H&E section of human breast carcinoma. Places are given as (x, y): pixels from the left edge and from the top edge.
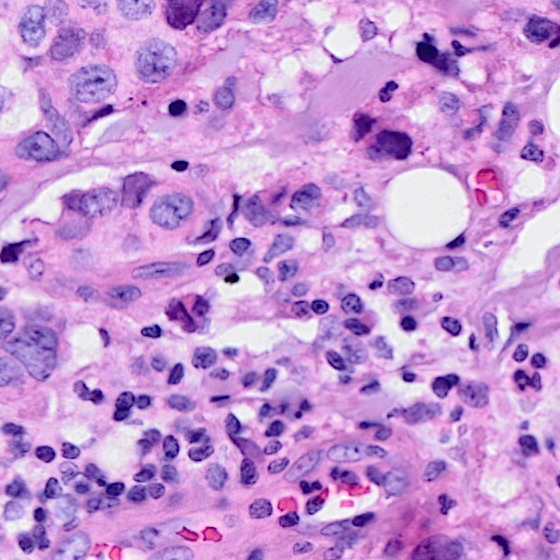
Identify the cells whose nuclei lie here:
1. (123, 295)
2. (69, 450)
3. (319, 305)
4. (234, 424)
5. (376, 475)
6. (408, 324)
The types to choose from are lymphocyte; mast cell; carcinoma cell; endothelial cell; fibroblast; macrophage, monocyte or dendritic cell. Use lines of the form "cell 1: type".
cell 1: endothelial cell
cell 2: lymphocyte
cell 3: lymphocyte
cell 4: lymphocyte
cell 5: endothelial cell
cell 6: lymphocyte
